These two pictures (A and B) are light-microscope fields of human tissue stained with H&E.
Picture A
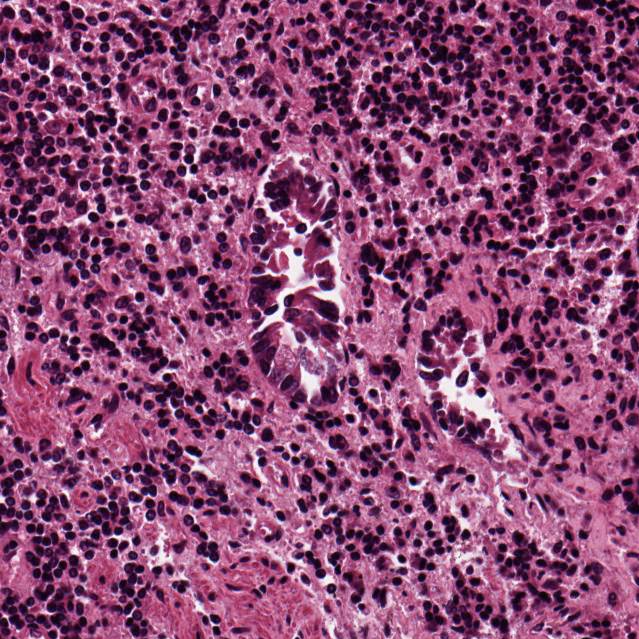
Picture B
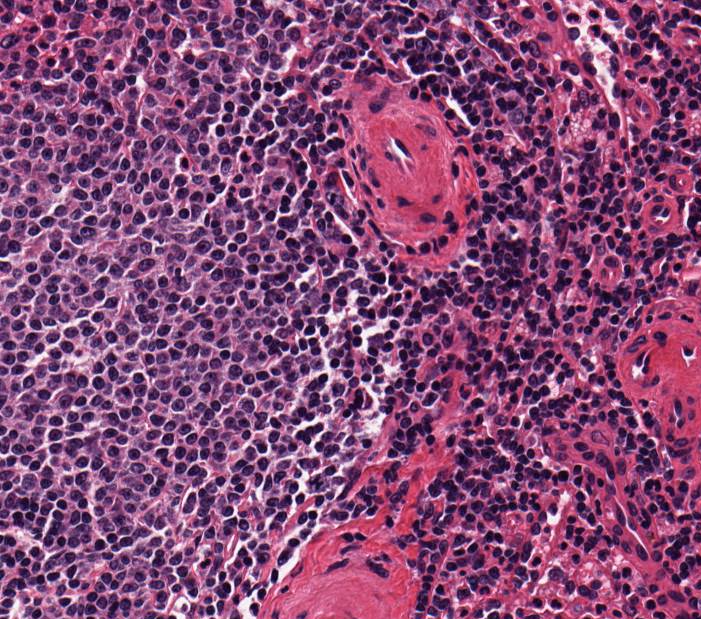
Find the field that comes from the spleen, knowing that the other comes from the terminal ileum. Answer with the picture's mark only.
B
